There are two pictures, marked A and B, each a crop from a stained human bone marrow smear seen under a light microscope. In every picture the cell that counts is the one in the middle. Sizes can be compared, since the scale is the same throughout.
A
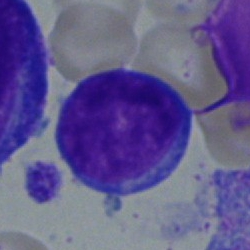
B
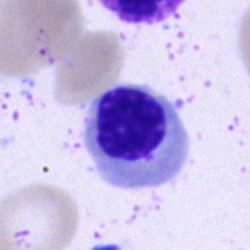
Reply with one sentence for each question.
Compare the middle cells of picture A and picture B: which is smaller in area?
It is the cell in picture B; the cell in picture A has about 2 times its area.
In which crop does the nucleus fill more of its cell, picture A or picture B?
The nucleus fills more of the cell in picture A than in picture B.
